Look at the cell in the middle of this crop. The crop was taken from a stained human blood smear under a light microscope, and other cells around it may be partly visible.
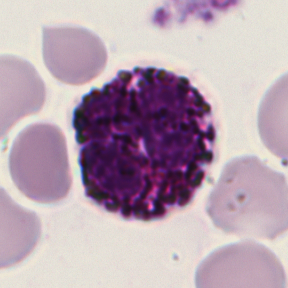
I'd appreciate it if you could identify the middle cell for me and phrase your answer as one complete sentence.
The cell centered in this field of view is a basophil.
